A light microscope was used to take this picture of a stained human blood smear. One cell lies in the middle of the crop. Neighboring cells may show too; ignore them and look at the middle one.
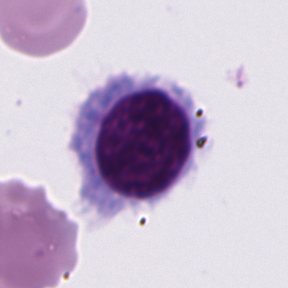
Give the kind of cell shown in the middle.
hairy cell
